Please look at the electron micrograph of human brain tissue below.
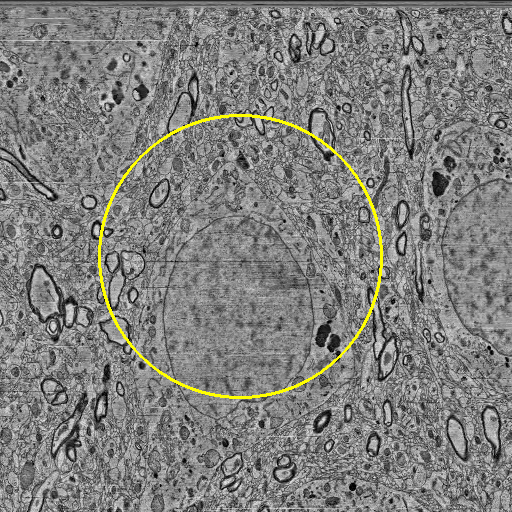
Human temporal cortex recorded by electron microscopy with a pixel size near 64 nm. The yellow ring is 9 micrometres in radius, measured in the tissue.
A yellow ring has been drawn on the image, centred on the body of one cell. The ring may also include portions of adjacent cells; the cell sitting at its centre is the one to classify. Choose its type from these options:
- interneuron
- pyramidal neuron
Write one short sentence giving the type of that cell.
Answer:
The cell in the middle of the ring is a pyramidal neuron.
